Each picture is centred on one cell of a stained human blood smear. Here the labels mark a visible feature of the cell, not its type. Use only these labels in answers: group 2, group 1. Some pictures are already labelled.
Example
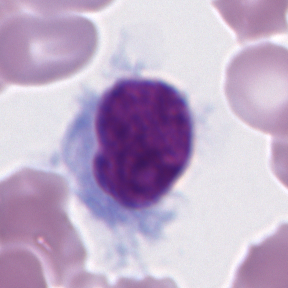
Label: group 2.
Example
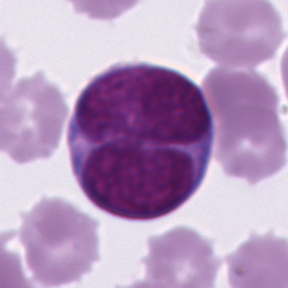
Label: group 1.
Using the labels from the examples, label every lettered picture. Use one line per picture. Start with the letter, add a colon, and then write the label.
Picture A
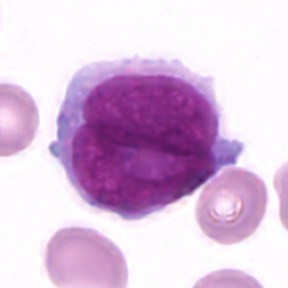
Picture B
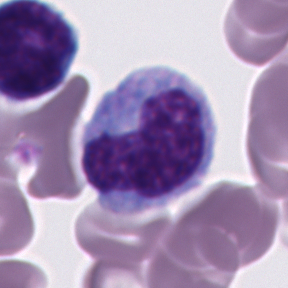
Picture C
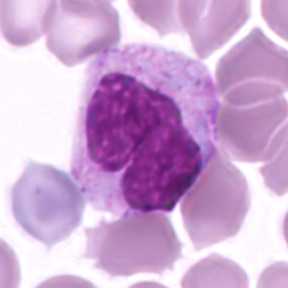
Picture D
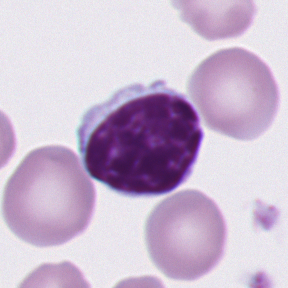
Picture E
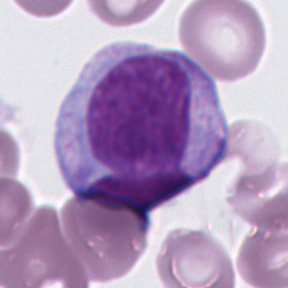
A: group 1.
B: group 2.
C: group 1.
D: group 2.
E: group 2.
